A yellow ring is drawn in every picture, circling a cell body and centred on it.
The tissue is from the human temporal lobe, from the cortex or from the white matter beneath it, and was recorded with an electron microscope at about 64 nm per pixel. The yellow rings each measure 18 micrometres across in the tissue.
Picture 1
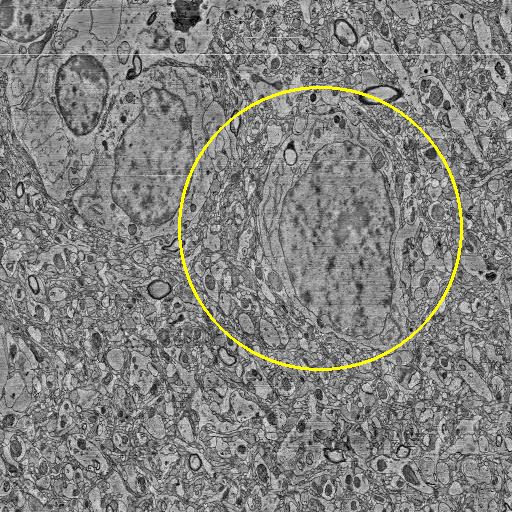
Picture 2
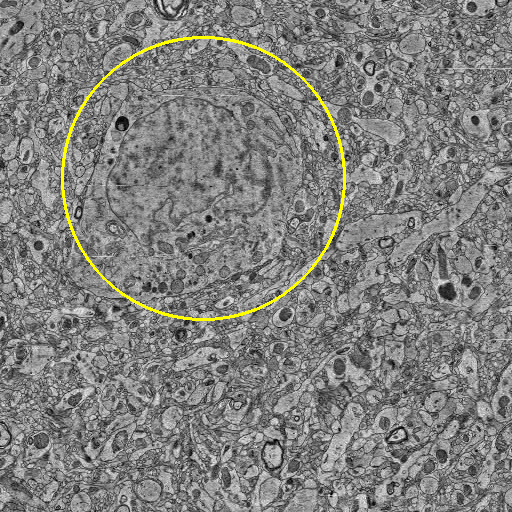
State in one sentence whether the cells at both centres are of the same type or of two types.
The cells at the two ring centres, one per picture, are of the same type.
